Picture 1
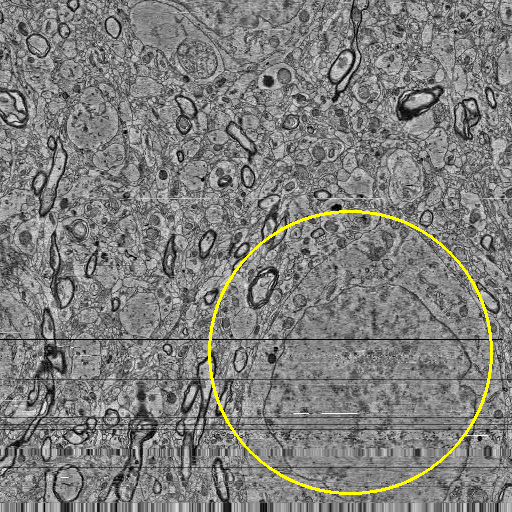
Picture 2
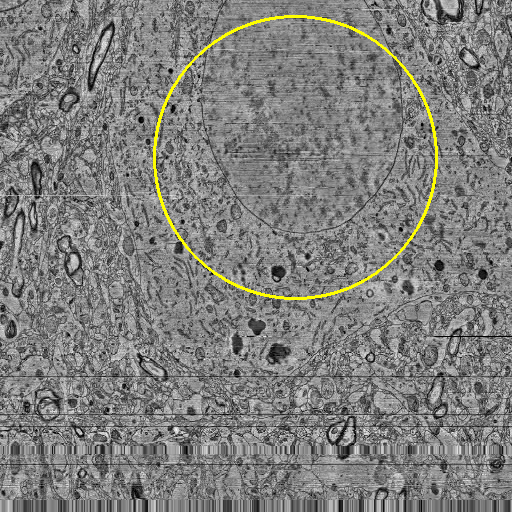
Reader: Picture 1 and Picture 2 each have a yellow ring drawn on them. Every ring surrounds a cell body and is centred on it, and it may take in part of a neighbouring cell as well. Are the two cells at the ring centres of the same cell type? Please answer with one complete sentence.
Yes, both cells are of the same cell type.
